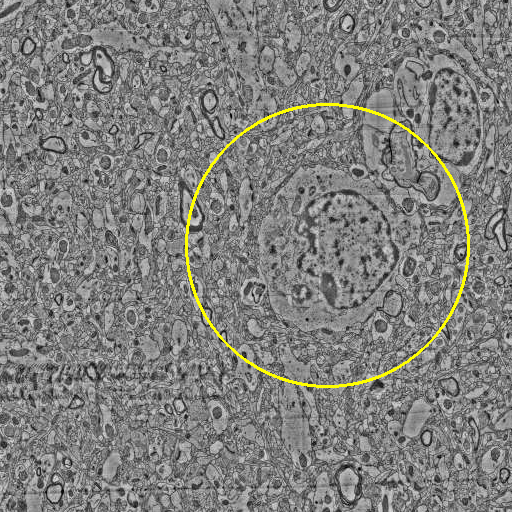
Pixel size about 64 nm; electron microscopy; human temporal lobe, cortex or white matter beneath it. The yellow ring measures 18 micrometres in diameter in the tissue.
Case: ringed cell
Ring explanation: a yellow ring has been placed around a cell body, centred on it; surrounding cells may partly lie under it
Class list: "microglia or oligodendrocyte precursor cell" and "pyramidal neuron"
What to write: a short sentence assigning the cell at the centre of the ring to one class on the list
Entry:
The cell at the ring's centre is a microglial cell or oligodendrocyte precursor cell.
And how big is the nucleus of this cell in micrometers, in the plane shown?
The nucleus of the ringed cell is approximately 8 by 7 micrometres in this plane.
